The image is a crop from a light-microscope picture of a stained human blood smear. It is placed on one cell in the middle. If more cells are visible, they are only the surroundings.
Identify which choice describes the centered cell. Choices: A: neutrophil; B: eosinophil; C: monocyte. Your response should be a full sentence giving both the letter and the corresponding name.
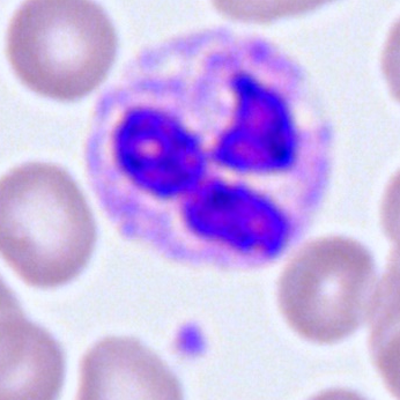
The correct response is option A, naming the cell in the middle as a neutrophil.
